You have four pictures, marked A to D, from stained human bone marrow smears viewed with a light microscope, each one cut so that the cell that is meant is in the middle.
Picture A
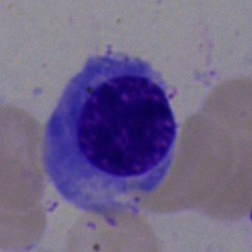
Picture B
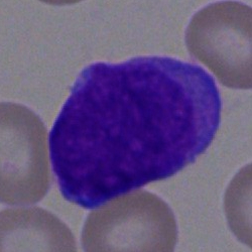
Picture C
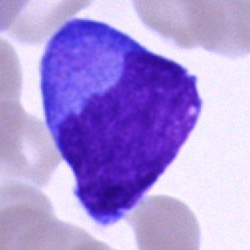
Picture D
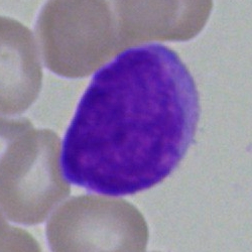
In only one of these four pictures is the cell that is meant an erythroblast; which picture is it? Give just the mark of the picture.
A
